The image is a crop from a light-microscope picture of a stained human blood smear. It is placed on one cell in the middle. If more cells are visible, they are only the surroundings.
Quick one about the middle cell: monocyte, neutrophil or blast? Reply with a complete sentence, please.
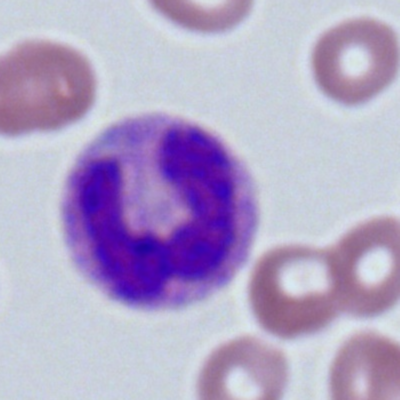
The middle of this crop is occupied by a neutrophil.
